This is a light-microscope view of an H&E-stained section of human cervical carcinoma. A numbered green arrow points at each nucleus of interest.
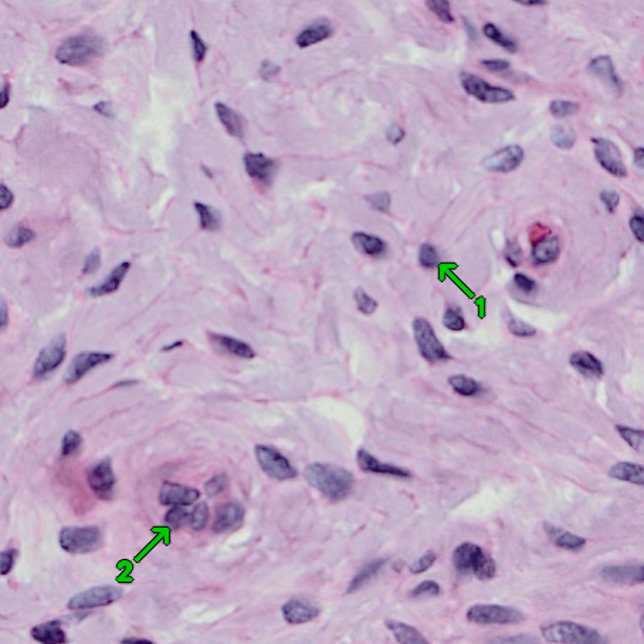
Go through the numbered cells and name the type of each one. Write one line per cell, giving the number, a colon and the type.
1: fibroblast
2: endothelial cell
